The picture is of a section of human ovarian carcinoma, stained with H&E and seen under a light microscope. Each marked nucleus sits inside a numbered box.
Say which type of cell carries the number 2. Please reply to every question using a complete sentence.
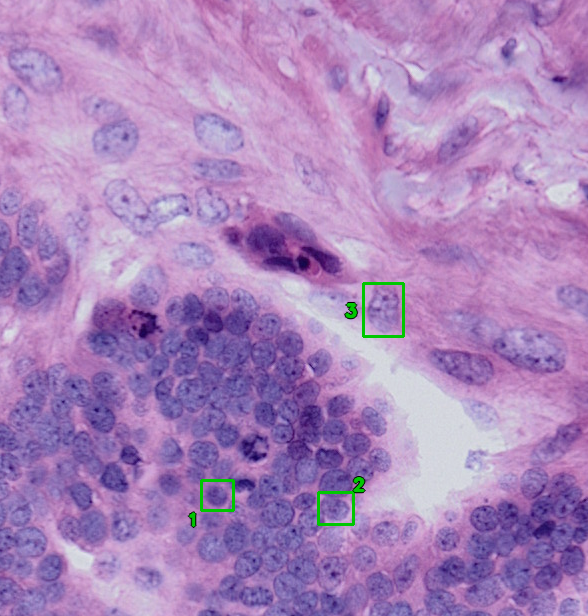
The identity of cell 2 is that of a carcinoma cell.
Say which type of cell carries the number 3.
Among the marked cells, number 3 is a fibroblast.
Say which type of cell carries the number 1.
At number 1, the marked cell is a carcinoma cell.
